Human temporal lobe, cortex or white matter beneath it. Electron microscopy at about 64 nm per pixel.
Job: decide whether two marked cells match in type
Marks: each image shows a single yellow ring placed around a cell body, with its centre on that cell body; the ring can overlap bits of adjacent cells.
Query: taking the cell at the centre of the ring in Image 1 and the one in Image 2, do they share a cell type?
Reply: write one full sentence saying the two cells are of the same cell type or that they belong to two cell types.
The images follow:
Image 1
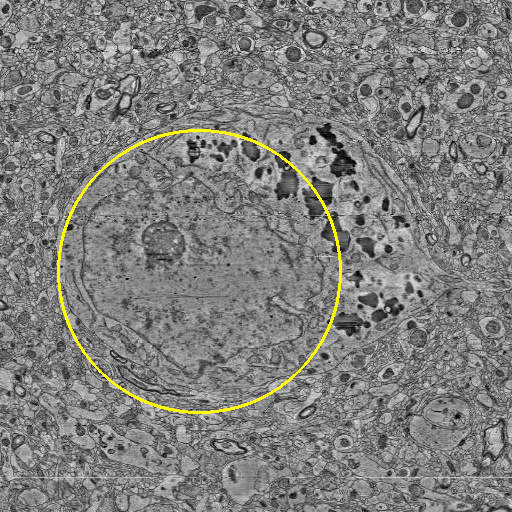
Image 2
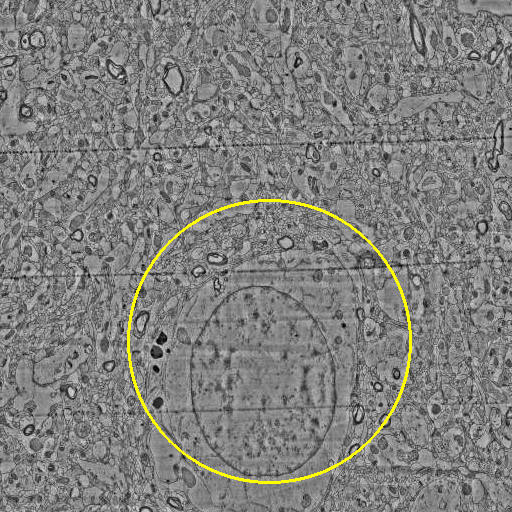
The cells at the ring centres in Image 1 and Image 2 belong to two cell types.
